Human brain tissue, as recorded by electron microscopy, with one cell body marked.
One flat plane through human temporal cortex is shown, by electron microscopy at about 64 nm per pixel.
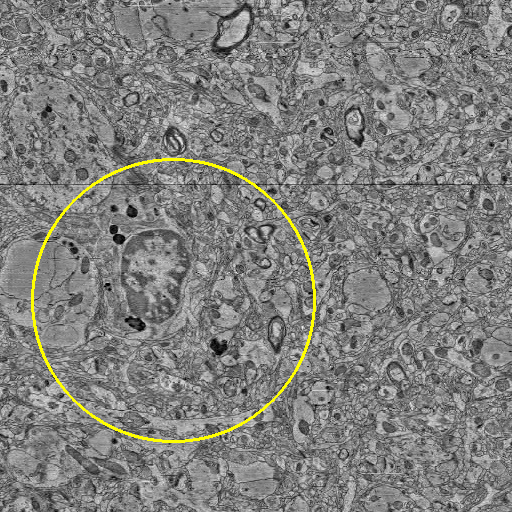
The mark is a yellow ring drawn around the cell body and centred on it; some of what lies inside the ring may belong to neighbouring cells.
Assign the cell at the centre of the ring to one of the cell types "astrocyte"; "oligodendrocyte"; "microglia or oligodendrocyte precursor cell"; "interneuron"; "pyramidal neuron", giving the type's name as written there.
microglia or oligodendrocyte precursor cell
